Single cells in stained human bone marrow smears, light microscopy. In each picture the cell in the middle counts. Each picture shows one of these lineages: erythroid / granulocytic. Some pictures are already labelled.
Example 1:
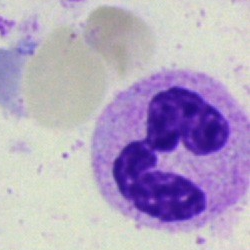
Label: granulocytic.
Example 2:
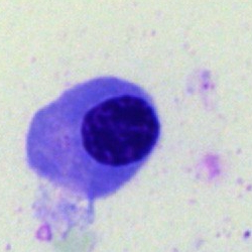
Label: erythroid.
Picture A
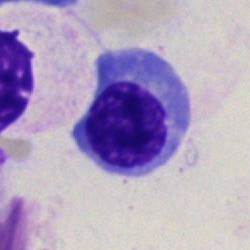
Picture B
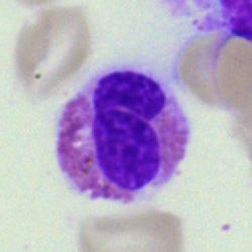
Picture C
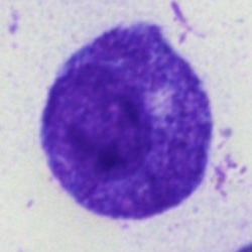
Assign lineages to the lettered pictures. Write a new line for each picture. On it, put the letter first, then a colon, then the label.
A: erythroid.
B: granulocytic.
C: granulocytic.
